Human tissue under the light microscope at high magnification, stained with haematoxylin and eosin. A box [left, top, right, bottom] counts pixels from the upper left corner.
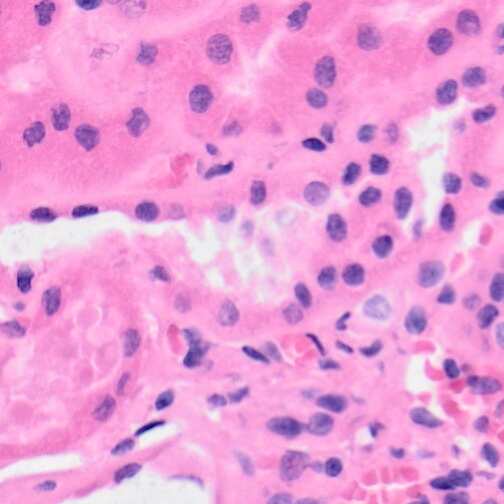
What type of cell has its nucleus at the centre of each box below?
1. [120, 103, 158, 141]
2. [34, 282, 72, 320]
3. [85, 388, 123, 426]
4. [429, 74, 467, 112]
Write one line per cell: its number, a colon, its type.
1: proximal tubule cell
2: proximal tubule cell
3: proximal tubule cell
4: loop of Henle or distal tubule cell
